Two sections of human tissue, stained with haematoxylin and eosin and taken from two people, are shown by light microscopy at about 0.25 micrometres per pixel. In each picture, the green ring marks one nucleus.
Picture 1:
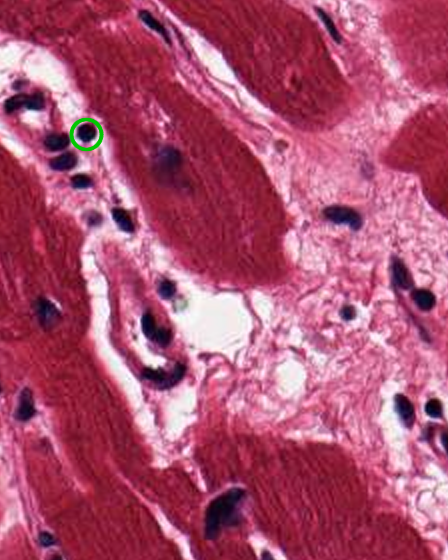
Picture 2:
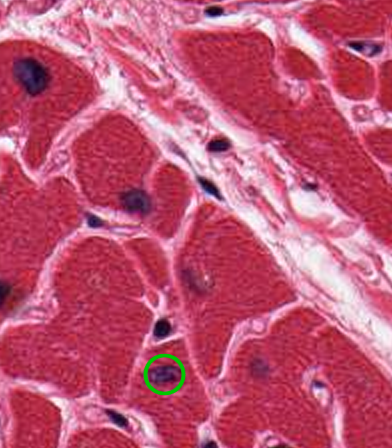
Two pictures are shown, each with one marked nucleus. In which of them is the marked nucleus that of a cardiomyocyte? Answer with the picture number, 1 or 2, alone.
2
